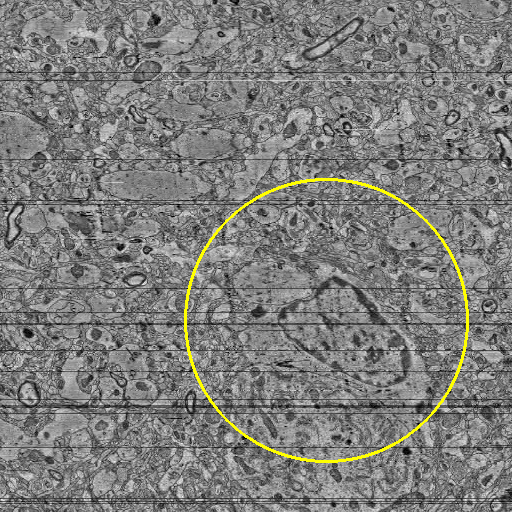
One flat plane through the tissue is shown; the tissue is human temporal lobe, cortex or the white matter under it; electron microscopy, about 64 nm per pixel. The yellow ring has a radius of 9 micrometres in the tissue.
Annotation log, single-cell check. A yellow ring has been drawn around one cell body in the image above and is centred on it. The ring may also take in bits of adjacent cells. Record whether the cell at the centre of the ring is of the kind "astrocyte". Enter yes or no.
no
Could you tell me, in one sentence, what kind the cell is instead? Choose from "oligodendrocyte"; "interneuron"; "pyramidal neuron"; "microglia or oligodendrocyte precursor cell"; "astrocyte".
Instead, the ring surrounds a microglial cell or oligodendrocyte precursor cell in this picture.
